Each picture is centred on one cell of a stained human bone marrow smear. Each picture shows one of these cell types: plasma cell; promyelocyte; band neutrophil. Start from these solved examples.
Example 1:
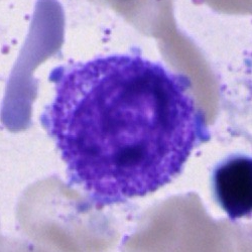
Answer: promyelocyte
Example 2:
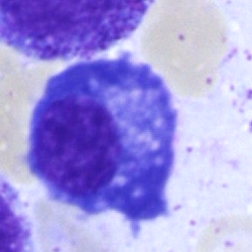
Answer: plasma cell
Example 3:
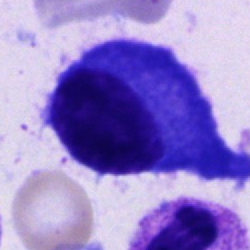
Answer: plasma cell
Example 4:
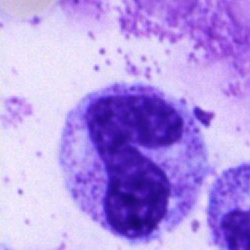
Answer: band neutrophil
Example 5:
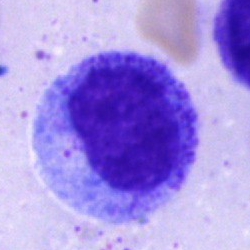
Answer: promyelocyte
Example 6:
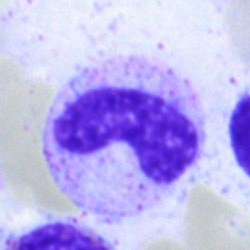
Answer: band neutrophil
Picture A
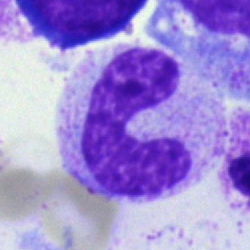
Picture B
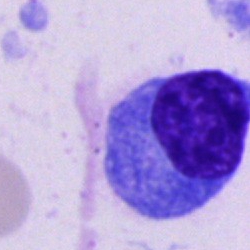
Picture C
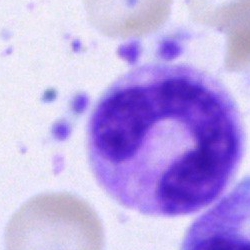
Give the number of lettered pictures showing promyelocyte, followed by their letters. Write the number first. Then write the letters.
0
